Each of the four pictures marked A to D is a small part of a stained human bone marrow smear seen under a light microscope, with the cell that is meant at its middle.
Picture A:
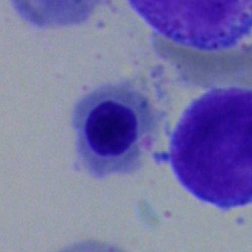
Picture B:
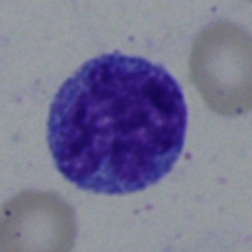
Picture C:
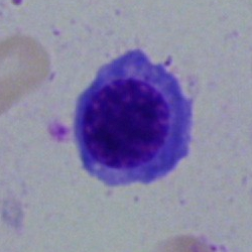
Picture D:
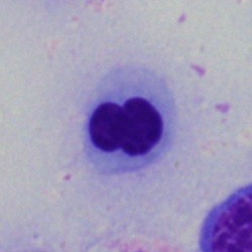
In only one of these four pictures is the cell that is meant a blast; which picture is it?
B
